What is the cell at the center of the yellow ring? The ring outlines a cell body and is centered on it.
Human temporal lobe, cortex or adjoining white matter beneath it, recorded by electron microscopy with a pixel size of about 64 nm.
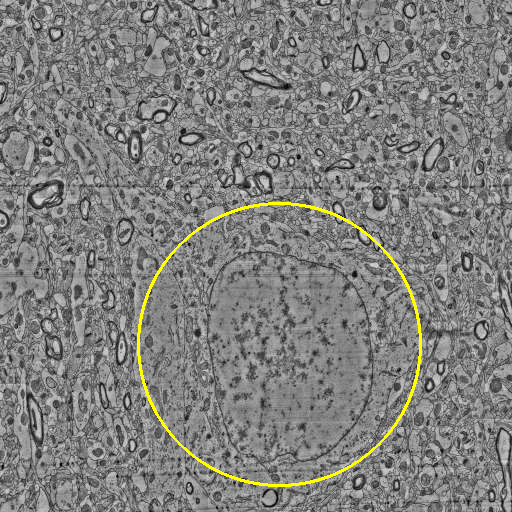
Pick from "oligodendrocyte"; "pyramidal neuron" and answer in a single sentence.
The yellow ring is centered on a pyramidal neuron.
